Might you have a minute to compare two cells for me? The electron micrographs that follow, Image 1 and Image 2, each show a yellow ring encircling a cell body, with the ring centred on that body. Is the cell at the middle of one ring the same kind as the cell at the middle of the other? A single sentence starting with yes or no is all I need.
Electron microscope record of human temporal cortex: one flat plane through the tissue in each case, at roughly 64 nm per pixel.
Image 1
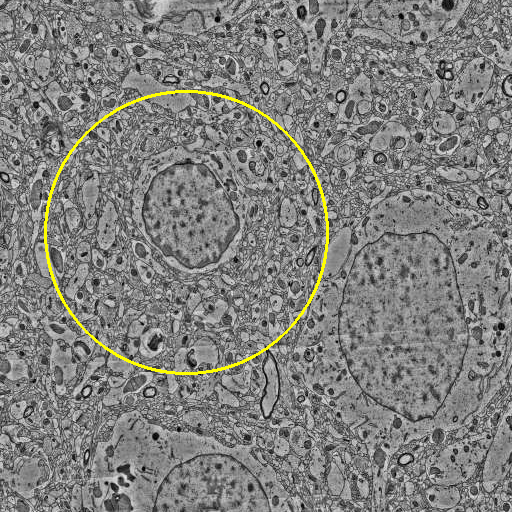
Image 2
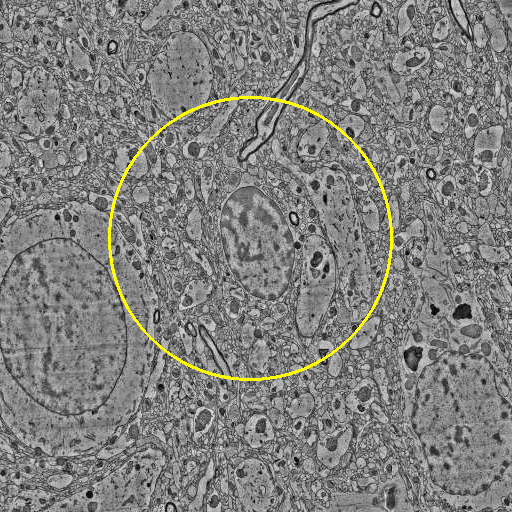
Yes, the cells in the middle of the two rings are of one shared kind.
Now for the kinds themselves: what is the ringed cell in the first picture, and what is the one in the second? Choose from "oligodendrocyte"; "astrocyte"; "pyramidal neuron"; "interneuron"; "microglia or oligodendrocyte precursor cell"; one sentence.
Both the first and the second picture show a microglial cell or oligodendrocyte precursor cell in the ring.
